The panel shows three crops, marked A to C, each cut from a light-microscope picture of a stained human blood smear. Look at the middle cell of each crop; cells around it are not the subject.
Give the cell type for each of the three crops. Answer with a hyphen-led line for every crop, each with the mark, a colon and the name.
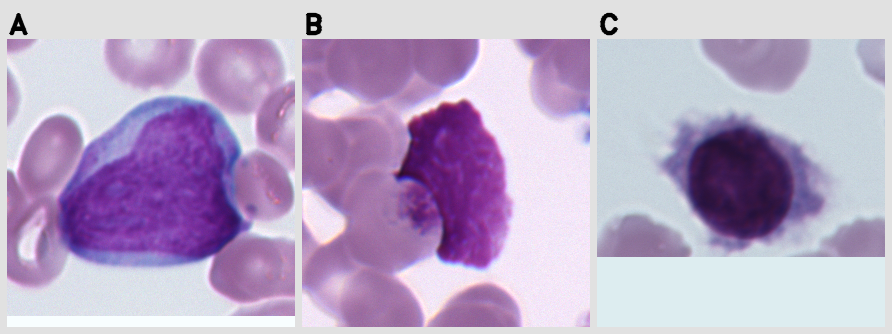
- A: atypical promyelocyte
- B: smudge cell
- C: hairy cell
